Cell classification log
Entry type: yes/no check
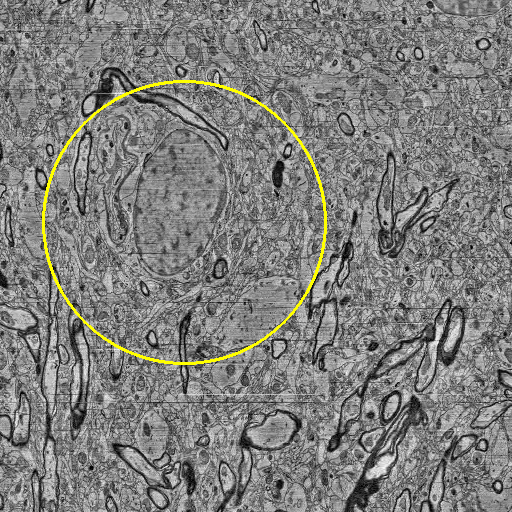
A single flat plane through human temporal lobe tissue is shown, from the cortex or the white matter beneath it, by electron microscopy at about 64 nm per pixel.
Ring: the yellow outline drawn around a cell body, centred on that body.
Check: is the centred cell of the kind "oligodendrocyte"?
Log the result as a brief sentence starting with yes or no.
No, the cell is of another kind.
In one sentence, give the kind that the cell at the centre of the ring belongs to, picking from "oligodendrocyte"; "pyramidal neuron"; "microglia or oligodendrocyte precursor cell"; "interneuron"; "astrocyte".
Here, the ring is centred on a microglial cell or oligodendrocyte precursor cell instead.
